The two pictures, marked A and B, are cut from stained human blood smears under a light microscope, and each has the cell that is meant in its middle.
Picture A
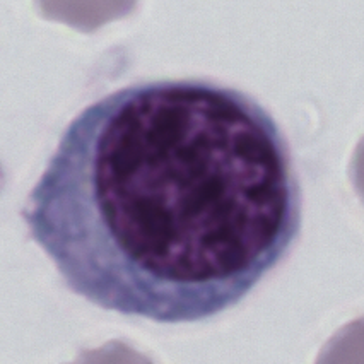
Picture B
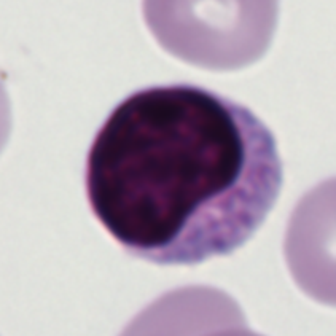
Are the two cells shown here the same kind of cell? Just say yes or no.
no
